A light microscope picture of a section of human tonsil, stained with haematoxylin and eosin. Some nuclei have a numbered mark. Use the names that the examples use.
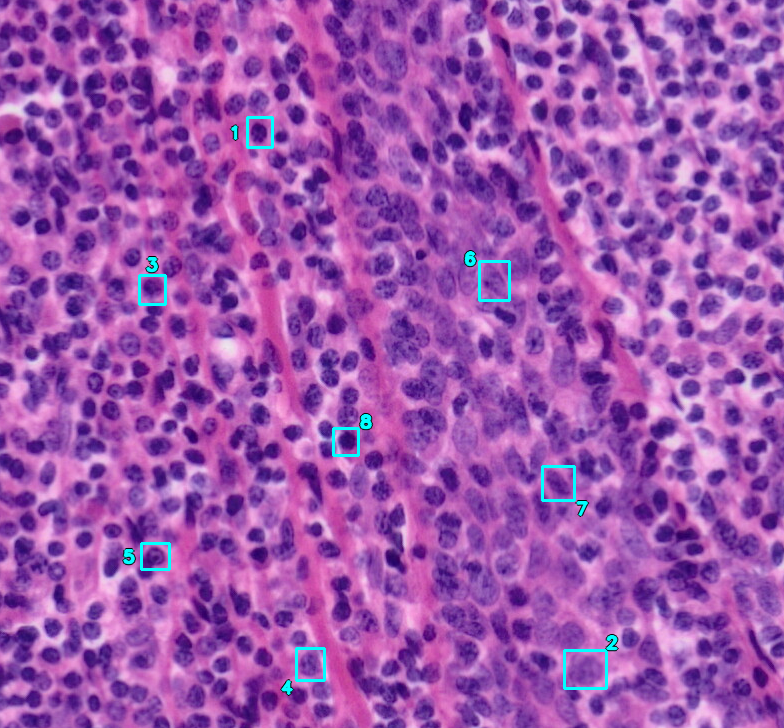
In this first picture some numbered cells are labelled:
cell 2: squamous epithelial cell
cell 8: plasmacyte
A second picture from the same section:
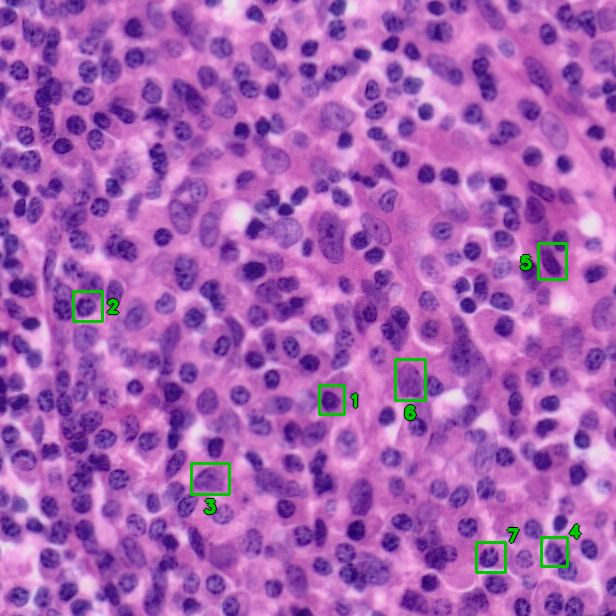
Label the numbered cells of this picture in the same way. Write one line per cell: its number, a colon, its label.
1: plasmacyte
2: plasmacyte
3: squamous epithelial cell
4: plasmacyte
5: squamous epithelial cell
6: squamous epithelial cell
7: plasmacyte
